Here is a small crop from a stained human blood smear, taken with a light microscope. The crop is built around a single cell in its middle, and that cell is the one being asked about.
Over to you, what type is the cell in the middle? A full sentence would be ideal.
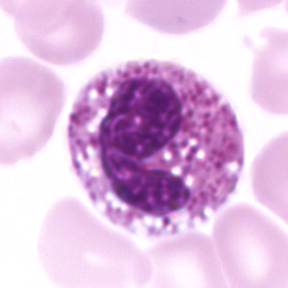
The middle of this crop holds an eosinophil.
